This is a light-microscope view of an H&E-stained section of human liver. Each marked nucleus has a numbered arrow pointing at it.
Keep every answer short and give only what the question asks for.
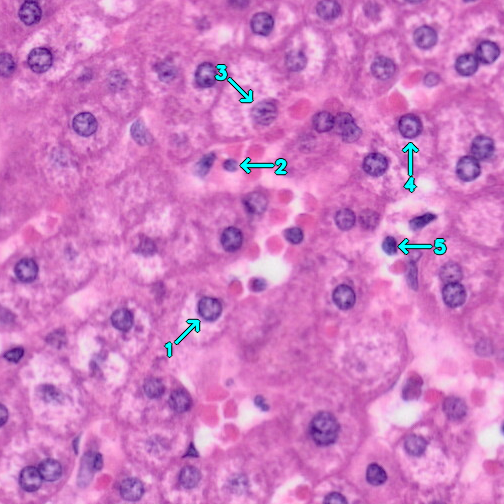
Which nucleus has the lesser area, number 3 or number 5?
5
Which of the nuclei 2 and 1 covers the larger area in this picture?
1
